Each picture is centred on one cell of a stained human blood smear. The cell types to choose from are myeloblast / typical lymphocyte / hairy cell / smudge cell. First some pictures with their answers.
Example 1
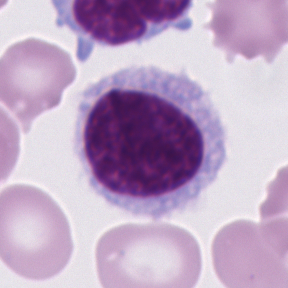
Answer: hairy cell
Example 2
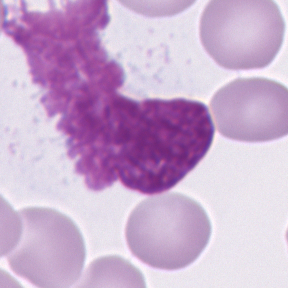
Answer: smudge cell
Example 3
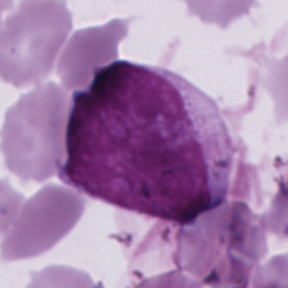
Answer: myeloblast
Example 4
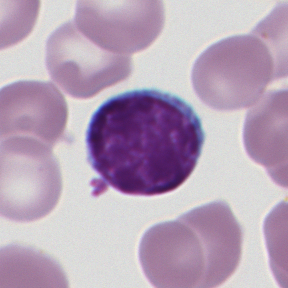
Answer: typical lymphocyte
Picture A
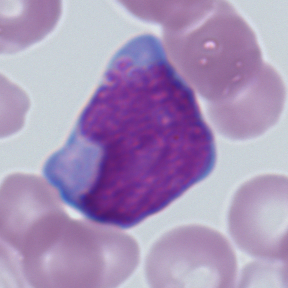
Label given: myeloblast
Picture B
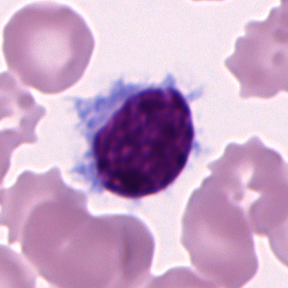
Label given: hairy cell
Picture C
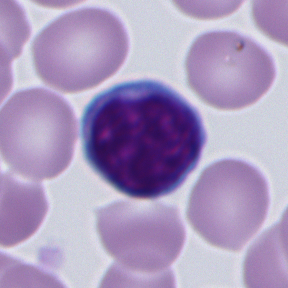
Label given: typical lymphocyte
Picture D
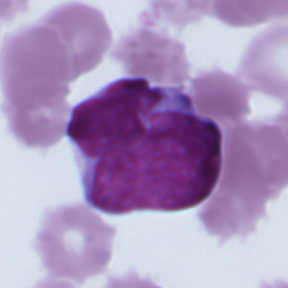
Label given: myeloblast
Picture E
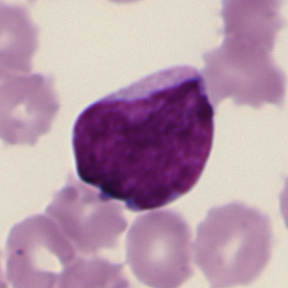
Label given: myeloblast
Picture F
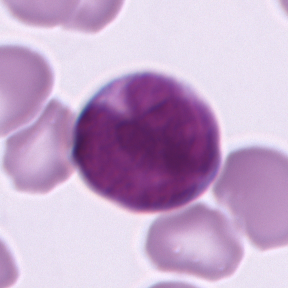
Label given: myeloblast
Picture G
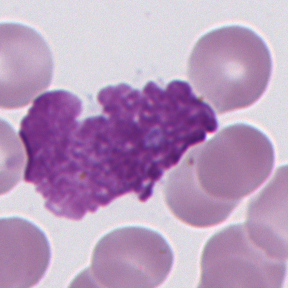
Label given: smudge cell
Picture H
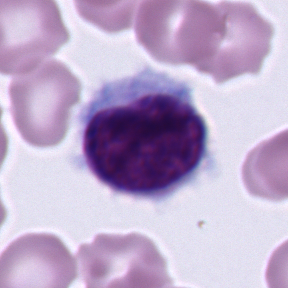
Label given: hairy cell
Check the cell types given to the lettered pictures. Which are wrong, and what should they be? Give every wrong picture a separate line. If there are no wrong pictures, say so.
All correct.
